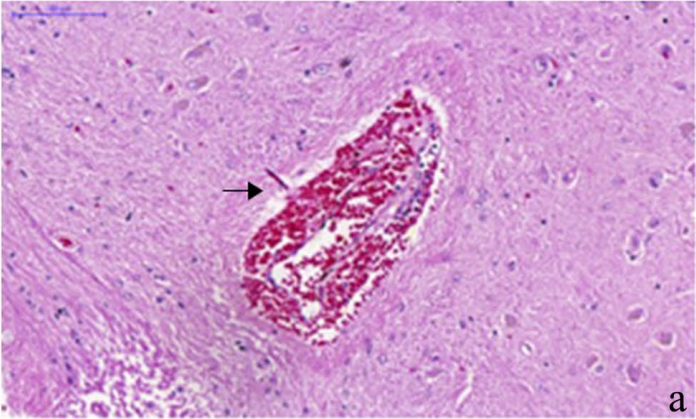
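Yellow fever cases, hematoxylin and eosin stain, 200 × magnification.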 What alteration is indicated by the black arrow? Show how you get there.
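A vessel is packed with bright red erythrocytes. The arrow points to the rim of this vessel. The vessel lies within pale pink parenchyma. On this evidence: Perivascular hemorrhage.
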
